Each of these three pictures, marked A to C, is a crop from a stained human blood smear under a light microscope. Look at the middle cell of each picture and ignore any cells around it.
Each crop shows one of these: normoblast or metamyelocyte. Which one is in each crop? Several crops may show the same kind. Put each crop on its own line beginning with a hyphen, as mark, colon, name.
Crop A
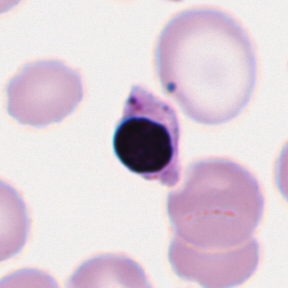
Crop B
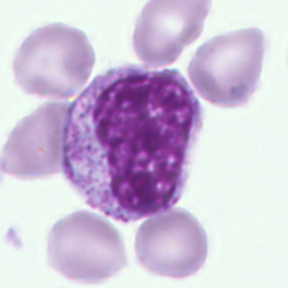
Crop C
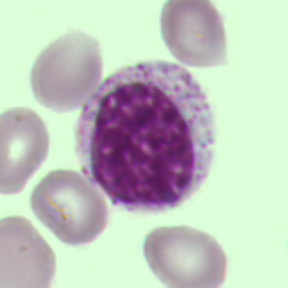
- A: normoblast
- B: metamyelocyte
- C: metamyelocyte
